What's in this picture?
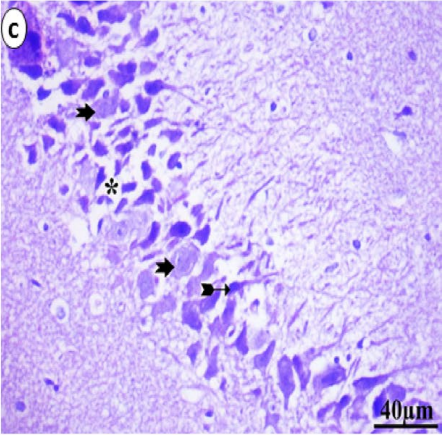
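This is a hippocampal section with a band of pyramidal neurons running diagonally across the field, flanked by pale, finely fibrillar neuropil. Many neurons in the band are shrunken and intensely dark blue, with condensed nuclei. Others are swollen and pale with only faint outlines, looking like ghosts of cells. Clear spaces separate some of the cells in the layer.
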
